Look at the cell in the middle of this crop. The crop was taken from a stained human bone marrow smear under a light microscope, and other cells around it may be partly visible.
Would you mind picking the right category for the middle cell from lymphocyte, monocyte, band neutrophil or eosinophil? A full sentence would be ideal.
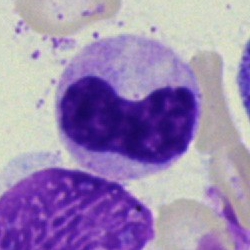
Positioned in the middle of the crop is a band neutrophil.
